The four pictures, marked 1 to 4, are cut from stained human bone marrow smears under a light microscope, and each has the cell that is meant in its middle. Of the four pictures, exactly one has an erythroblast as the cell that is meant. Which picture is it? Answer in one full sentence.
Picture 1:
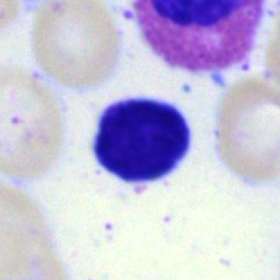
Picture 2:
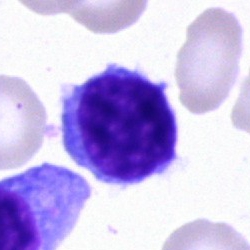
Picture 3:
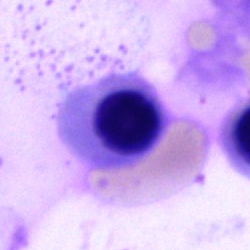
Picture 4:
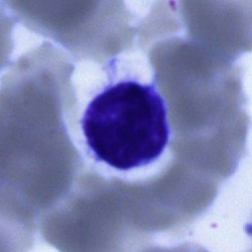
Picture 3 is the one that shows the erythroblast.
